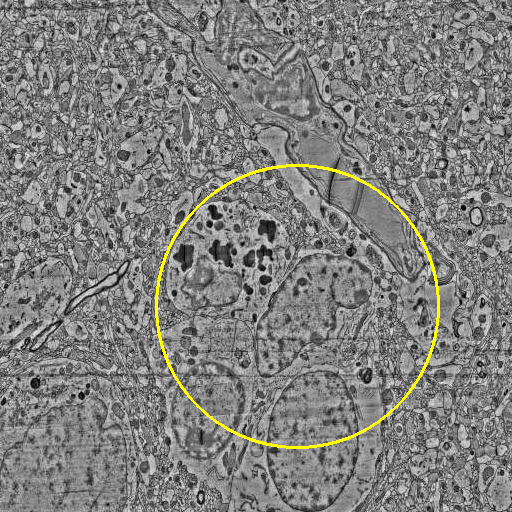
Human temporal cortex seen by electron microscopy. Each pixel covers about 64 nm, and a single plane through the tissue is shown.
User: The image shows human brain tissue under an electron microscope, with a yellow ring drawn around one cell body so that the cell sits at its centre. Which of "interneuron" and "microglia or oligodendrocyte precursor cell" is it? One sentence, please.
At the centre of the ring sits a microglial cell or oligodendrocyte precursor cell.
